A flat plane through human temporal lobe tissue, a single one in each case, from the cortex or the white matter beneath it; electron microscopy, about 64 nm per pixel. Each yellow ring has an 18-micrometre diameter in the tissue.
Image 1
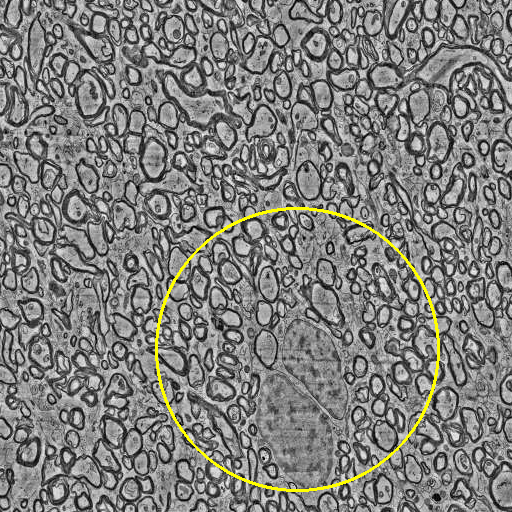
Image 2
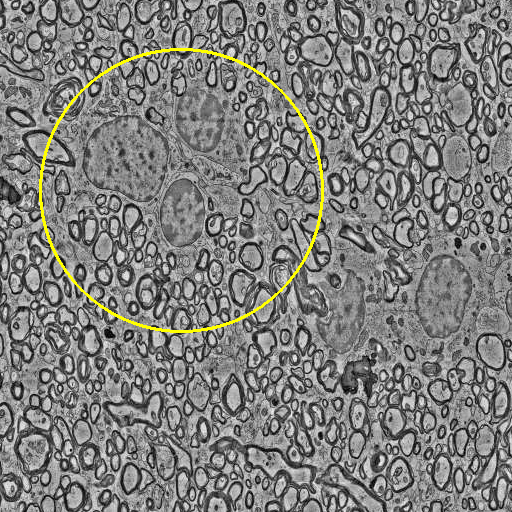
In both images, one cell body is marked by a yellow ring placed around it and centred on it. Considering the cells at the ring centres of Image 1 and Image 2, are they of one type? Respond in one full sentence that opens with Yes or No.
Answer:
Yes, a single type applies to the ring-centred cells of both Image 1 and Image 2.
